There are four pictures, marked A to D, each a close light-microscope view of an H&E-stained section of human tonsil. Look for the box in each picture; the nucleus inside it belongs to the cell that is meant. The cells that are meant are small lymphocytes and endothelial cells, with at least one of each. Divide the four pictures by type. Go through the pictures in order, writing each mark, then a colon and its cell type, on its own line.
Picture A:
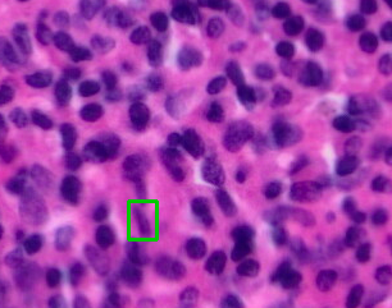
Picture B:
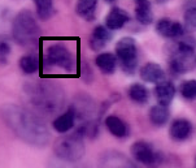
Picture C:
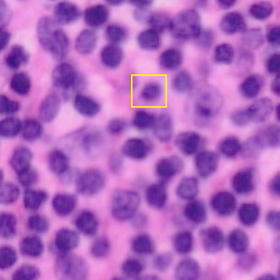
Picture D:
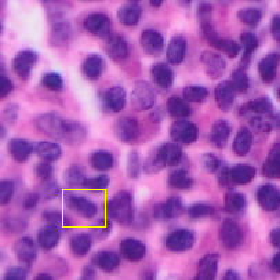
A: endothelial cell
B: endothelial cell
C: small lymphocyte
D: small lymphocyte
